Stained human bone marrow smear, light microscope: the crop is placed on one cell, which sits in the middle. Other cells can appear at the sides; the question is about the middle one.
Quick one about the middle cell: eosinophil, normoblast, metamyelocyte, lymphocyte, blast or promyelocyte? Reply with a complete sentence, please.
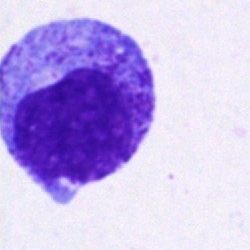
In the crop, the cell of interest at the centre is a promyelocyte.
